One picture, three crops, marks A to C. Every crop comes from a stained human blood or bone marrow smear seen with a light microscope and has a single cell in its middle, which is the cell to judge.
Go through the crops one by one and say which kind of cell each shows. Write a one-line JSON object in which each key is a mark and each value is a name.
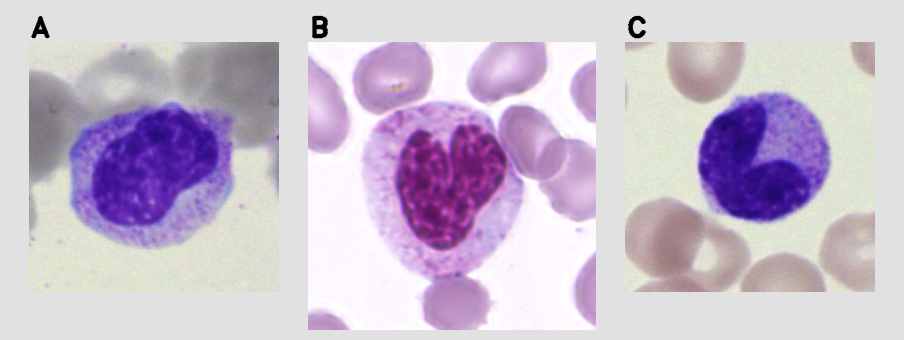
{"A": "metamyelocyte", "B": "band neutrophil", "C": "metamyelocyte"}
